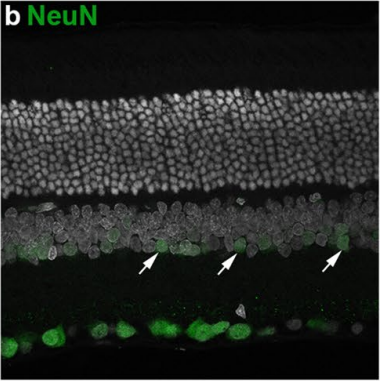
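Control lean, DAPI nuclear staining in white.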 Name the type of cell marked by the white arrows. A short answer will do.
Amacrine cells.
